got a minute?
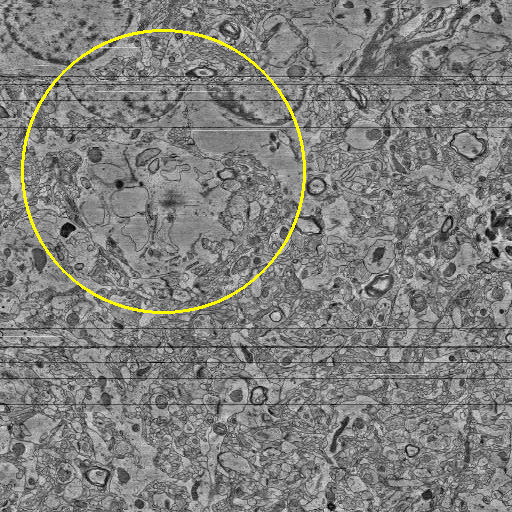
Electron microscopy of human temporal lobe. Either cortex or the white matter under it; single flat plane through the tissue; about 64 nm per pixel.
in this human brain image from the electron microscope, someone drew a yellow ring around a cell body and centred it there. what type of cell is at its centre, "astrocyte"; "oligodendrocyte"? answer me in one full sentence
It's an astrocyte at the middle of that yellow ring in the shot.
